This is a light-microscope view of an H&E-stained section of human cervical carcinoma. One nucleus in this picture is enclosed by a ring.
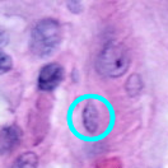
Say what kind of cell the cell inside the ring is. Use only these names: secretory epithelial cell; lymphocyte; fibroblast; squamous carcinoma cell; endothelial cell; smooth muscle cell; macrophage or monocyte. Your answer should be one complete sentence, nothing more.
For cell typing purposes, the cell inside the ring is an endothelial cell.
